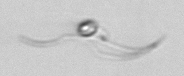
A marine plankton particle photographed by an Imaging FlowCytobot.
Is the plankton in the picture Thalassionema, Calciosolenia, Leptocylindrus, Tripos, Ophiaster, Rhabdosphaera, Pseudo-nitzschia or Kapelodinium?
It is Ophiaster.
